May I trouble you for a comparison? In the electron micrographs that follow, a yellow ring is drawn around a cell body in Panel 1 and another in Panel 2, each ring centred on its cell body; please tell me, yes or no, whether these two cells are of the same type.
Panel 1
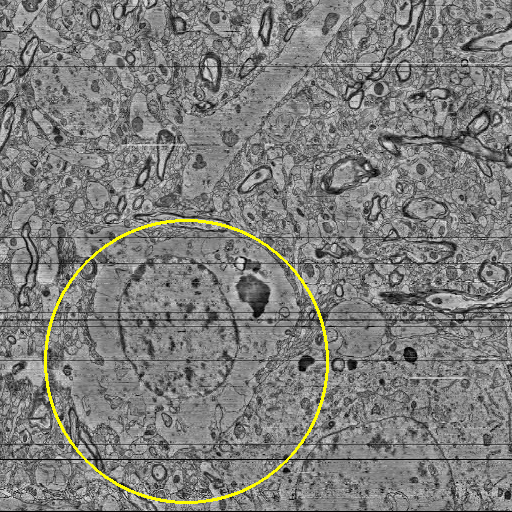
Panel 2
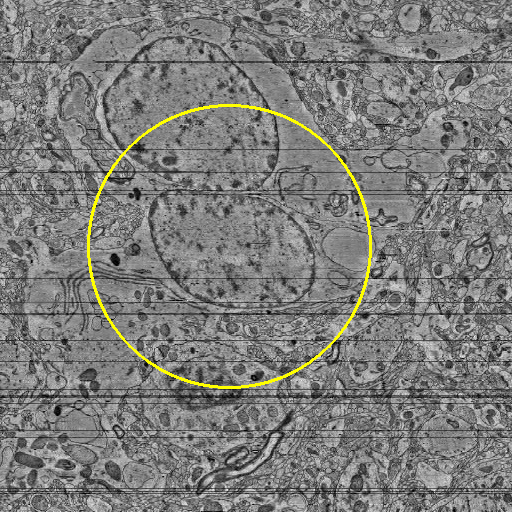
yes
